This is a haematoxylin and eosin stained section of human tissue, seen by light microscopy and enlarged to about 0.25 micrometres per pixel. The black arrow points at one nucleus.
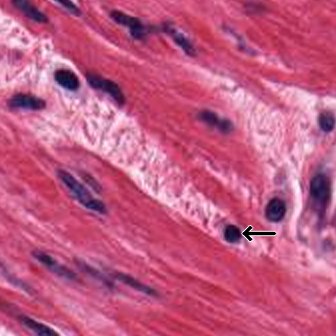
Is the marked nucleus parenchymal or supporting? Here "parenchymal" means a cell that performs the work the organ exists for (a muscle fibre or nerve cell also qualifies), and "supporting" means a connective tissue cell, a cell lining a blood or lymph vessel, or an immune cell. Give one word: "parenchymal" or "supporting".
supporting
